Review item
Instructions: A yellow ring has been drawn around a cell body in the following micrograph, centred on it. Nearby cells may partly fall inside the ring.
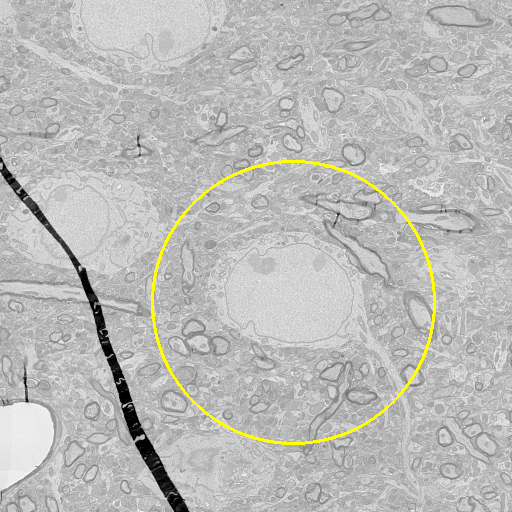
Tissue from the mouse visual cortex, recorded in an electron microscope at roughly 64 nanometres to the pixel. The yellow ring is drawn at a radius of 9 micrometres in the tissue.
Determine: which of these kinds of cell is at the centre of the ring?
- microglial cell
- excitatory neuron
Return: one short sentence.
The cell body in the middle of the ring is that of an excitatory neuron.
